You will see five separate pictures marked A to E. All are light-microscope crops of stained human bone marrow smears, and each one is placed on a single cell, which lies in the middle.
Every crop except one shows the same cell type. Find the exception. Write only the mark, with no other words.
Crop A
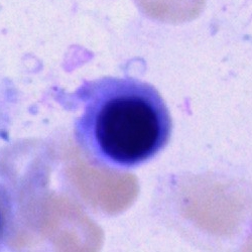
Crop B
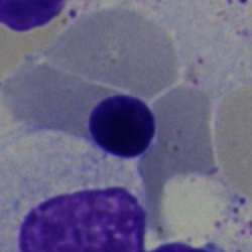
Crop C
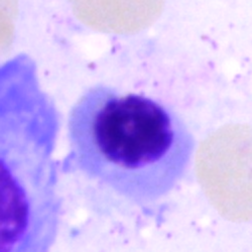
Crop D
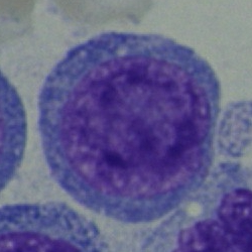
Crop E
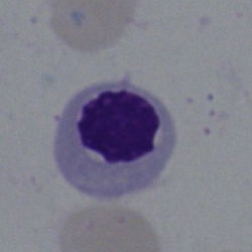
D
